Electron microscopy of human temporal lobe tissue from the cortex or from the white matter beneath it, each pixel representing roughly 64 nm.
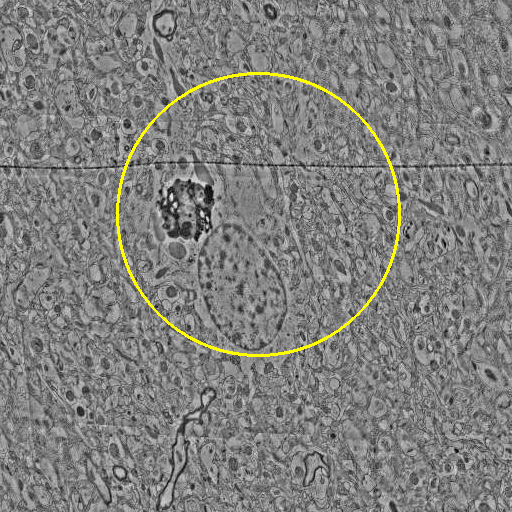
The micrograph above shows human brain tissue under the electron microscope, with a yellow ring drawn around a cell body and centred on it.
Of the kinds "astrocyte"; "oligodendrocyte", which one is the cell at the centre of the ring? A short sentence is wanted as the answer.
The one at the centre of the ring is an astrocyte.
